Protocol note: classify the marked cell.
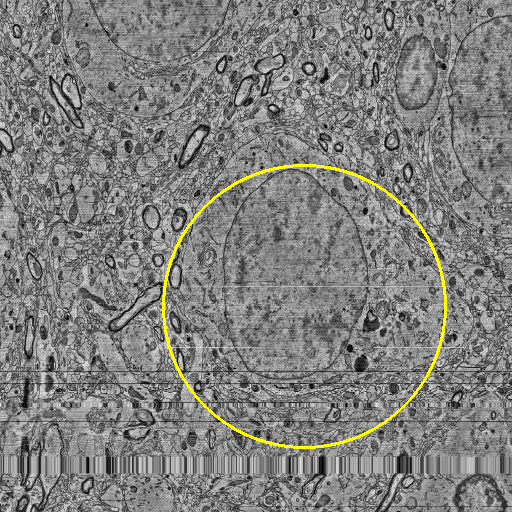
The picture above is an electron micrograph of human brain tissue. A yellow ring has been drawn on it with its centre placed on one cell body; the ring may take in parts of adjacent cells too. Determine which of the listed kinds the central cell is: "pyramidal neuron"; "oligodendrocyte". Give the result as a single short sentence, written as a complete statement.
The central cell is a pyramidal neuron.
